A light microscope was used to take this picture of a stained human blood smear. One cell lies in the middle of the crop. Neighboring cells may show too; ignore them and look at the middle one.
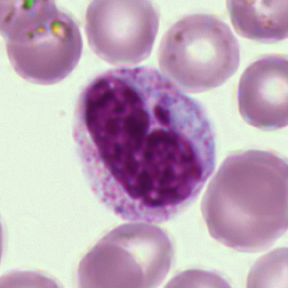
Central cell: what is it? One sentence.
The cell occupying the middle of the crop is a band neutrophil.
